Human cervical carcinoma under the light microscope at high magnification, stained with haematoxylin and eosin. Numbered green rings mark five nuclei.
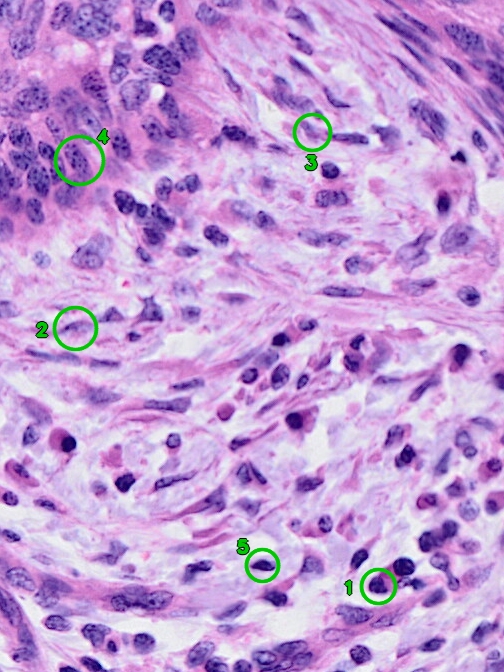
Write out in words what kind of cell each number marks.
Cells 1 and 5 are lymphocytes. Cells 2 and 3 are fibroblasts. Cell 4 is a squamous carcinoma cell.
